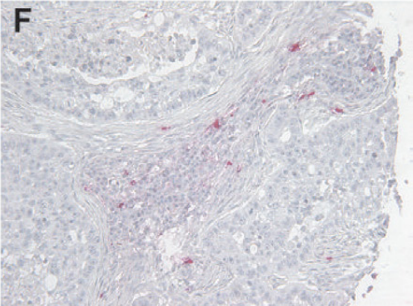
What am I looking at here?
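This is tumor tissue in which nests of crowded epithelial tumor cells with pale cytoplasm and bluish nuclei are separated by bands of pale fibrous stroma. The tumor cell nests themselves are largely unstained, so the red cells stand out clearly against the blue-grey background.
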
